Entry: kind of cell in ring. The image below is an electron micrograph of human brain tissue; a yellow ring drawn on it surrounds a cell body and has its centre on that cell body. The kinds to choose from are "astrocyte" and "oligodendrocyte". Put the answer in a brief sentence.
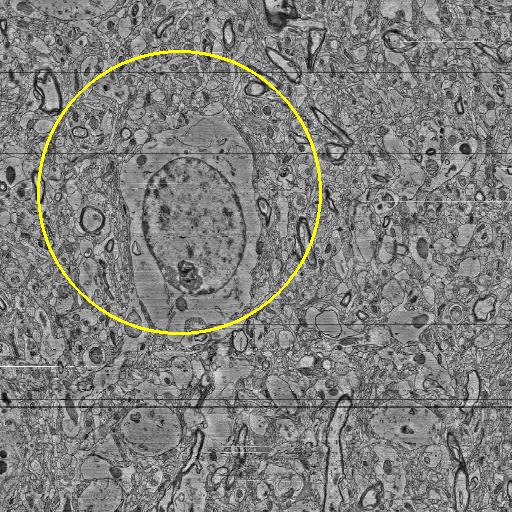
The ring has been drawn around an astrocyte.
